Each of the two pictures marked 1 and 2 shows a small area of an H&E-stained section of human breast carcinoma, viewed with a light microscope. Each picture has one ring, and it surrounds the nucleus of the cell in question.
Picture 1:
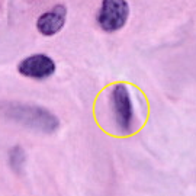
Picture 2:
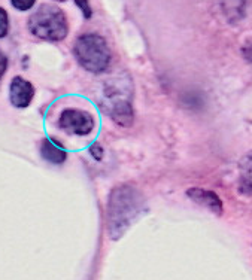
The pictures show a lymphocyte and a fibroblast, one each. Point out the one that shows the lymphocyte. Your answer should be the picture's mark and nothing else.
2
